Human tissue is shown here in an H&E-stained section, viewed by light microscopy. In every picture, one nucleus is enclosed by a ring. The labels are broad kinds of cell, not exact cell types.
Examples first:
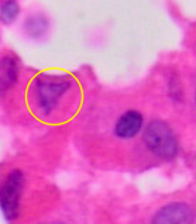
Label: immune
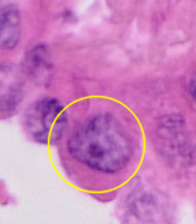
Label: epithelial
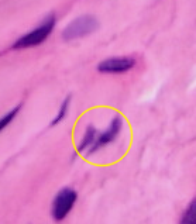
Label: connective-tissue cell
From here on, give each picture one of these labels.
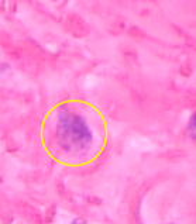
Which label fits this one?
connective-tissue cell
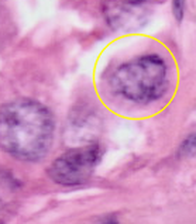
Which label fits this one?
epithelial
